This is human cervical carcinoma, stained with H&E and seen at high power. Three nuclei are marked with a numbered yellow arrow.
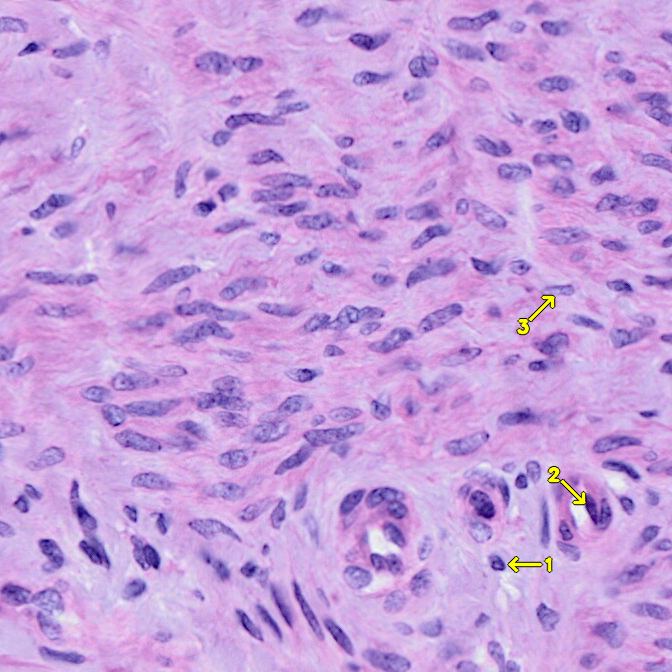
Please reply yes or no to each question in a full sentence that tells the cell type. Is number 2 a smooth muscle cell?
No, the cell bearing the number 2 is an endothelial cell, not a smooth muscle cell.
